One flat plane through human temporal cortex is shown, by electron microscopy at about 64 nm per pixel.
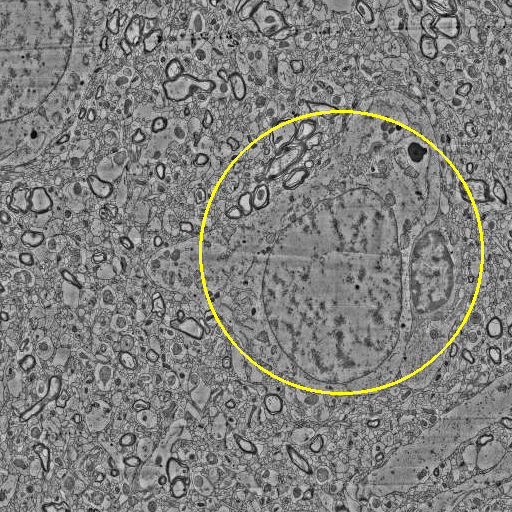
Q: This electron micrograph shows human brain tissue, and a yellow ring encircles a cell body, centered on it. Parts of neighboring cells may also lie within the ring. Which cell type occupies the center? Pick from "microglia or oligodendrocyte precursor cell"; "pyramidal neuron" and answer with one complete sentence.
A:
What sits at the ring's center in this micrograph is a pyramidal neuron, among those choices.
